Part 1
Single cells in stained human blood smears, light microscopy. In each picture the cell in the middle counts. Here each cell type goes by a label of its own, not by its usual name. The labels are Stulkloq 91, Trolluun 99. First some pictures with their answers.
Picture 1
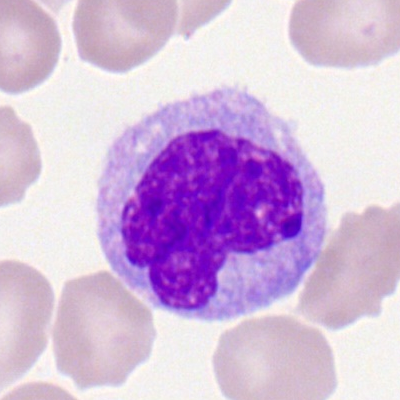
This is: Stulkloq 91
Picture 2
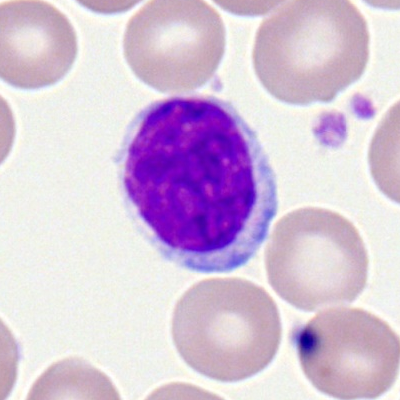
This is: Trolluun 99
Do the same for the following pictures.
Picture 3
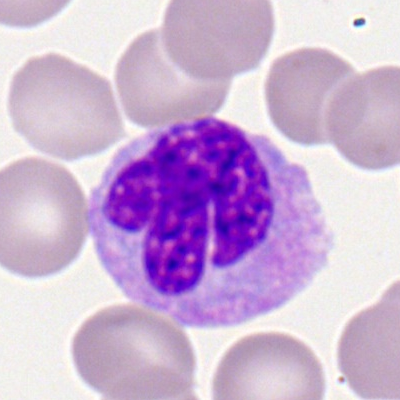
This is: Stulkloq 91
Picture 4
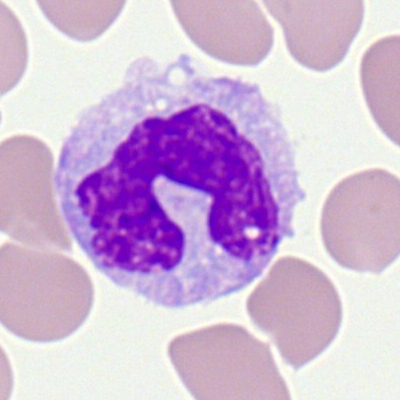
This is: Stulkloq 91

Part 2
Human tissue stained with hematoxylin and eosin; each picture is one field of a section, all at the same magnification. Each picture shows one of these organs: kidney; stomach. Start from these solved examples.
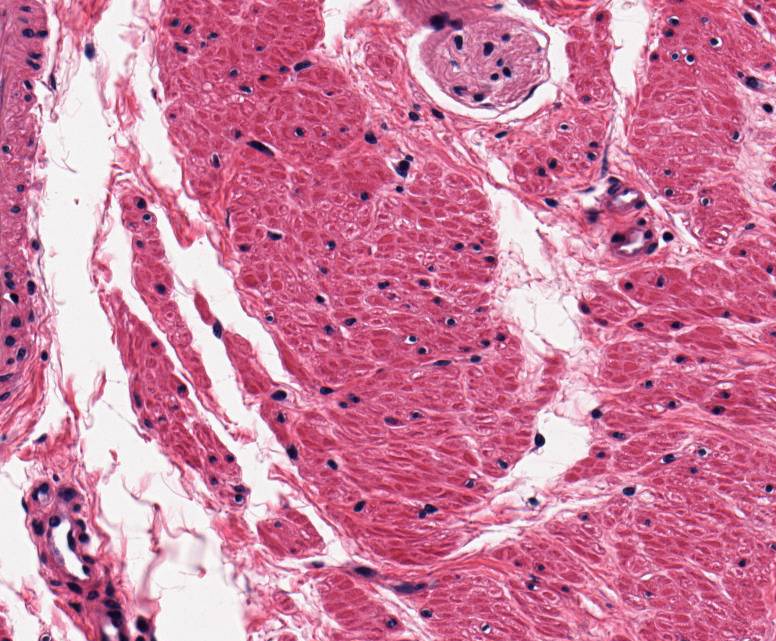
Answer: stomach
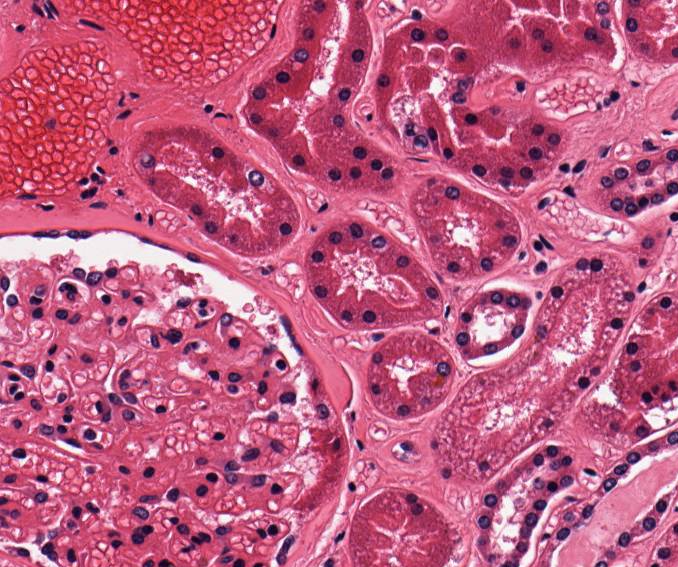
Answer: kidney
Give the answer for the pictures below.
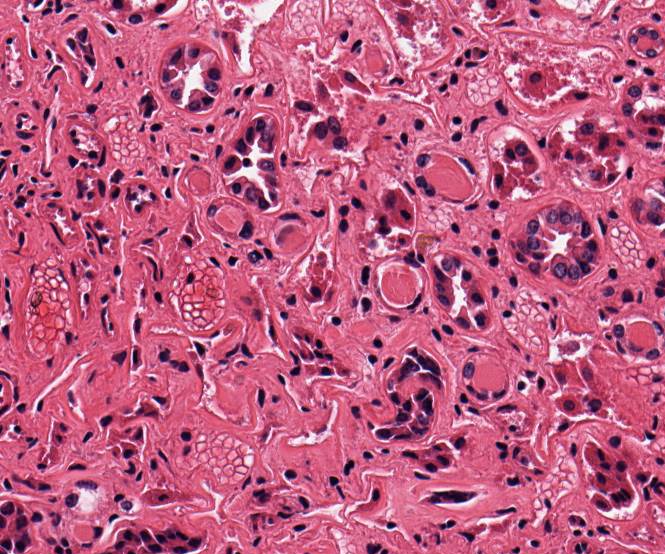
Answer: kidney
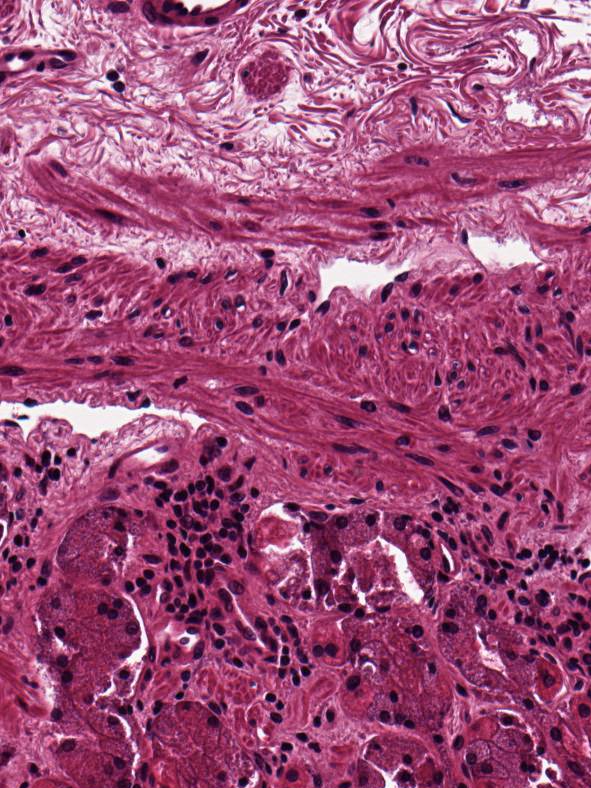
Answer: stomach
